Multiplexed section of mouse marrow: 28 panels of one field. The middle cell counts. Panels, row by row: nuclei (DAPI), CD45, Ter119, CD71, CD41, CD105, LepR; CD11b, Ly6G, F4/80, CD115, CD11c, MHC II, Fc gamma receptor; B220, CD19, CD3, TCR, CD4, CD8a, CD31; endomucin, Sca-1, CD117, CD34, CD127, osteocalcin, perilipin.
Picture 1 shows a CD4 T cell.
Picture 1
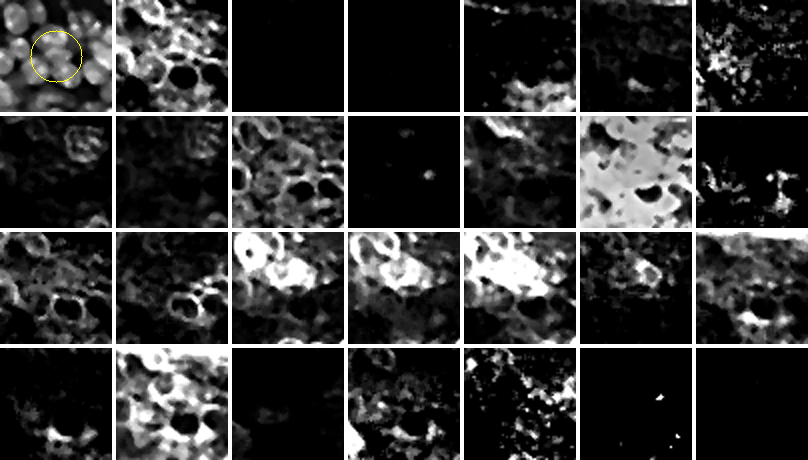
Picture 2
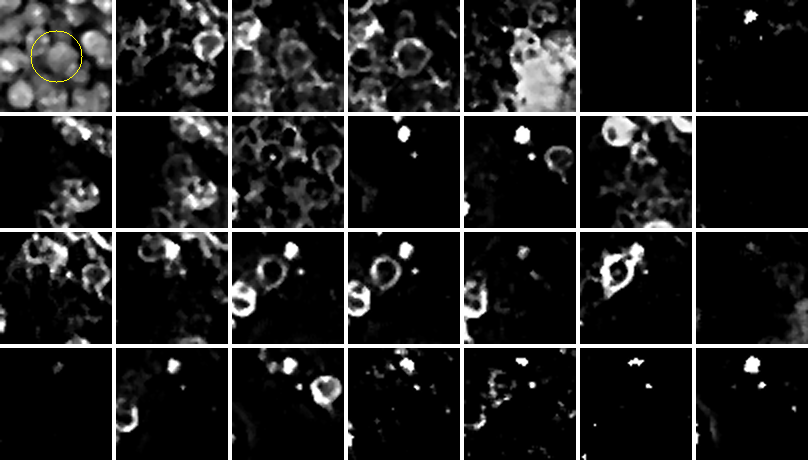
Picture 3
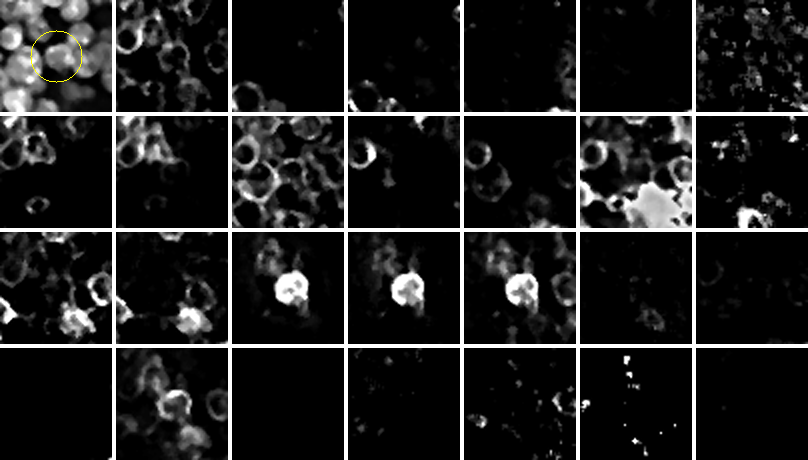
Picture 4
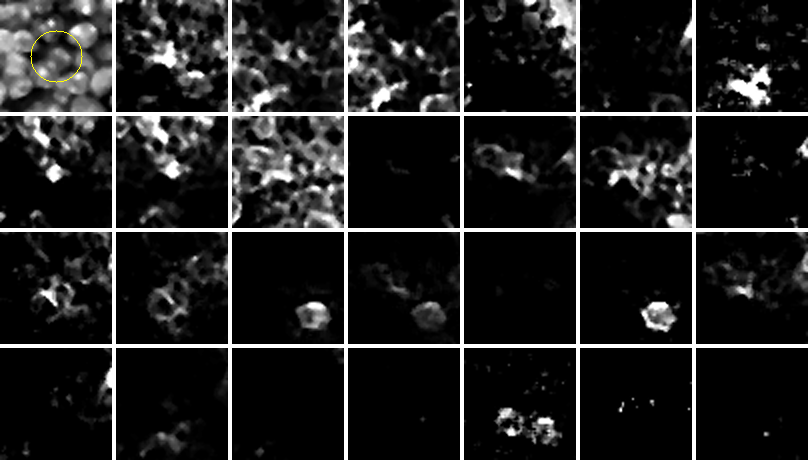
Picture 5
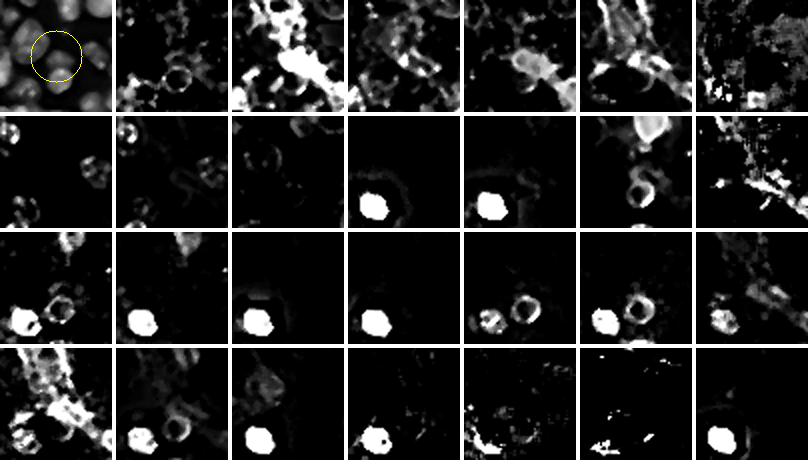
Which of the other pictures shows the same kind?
Picture 3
